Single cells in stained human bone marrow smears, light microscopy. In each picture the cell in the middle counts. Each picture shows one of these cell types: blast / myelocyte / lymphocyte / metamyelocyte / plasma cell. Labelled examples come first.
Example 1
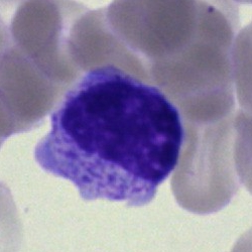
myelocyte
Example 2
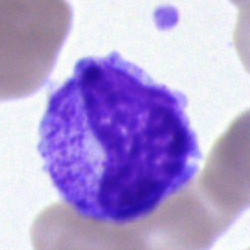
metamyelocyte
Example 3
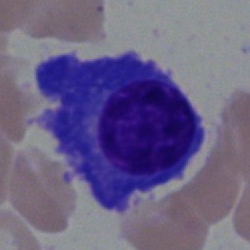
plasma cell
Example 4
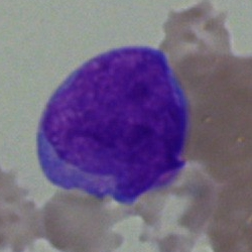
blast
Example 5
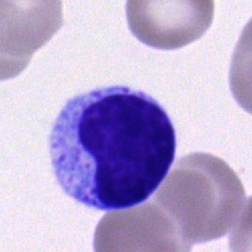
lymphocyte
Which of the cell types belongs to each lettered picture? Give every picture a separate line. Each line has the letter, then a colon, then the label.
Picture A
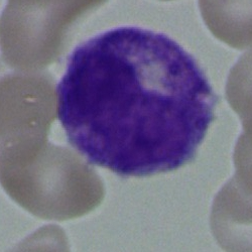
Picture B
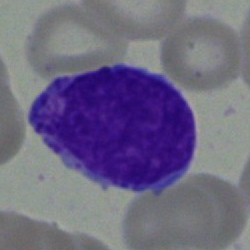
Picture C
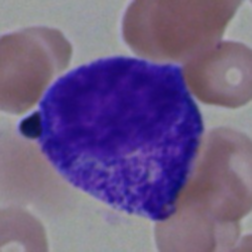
A: metamyelocyte
B: blast
C: myelocyte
